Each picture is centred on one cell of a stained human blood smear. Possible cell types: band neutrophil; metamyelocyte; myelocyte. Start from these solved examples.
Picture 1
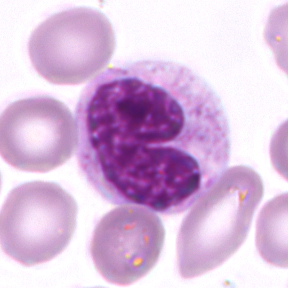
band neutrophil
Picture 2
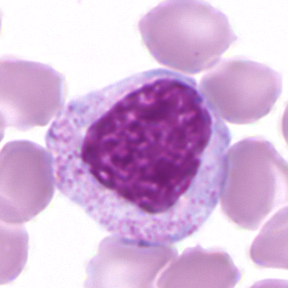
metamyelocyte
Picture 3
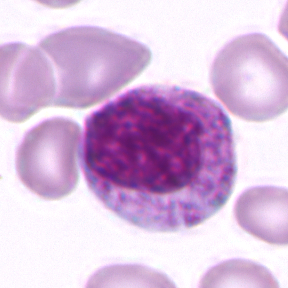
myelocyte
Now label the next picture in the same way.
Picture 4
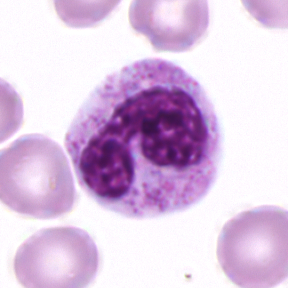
band neutrophil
